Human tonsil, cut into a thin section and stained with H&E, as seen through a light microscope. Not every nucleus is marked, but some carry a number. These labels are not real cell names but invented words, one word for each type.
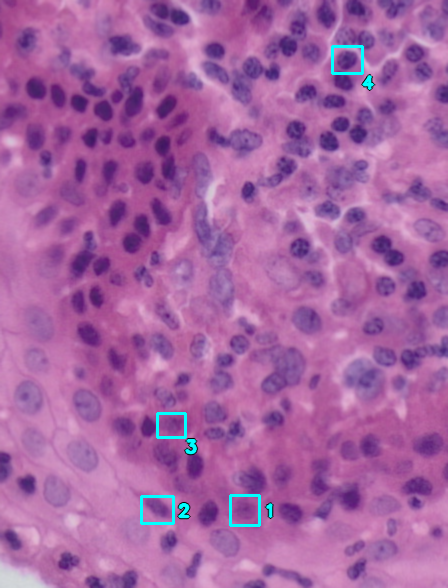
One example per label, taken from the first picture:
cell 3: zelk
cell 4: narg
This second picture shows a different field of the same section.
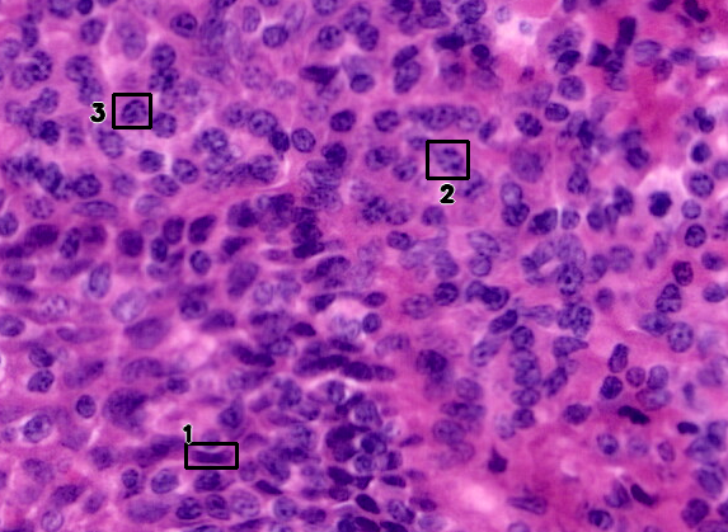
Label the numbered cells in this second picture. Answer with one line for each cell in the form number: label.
1: zelk
2: narg
3: narg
